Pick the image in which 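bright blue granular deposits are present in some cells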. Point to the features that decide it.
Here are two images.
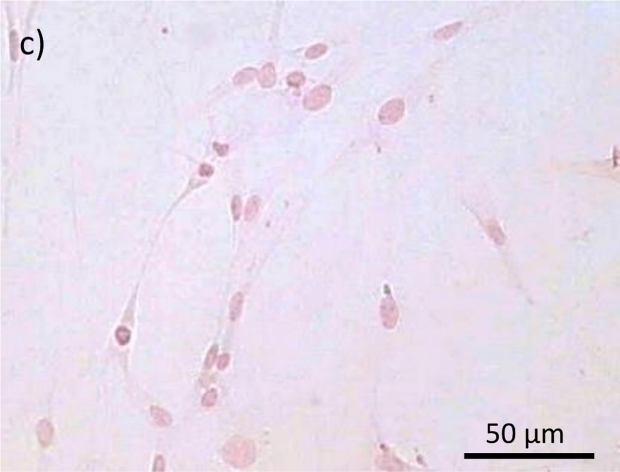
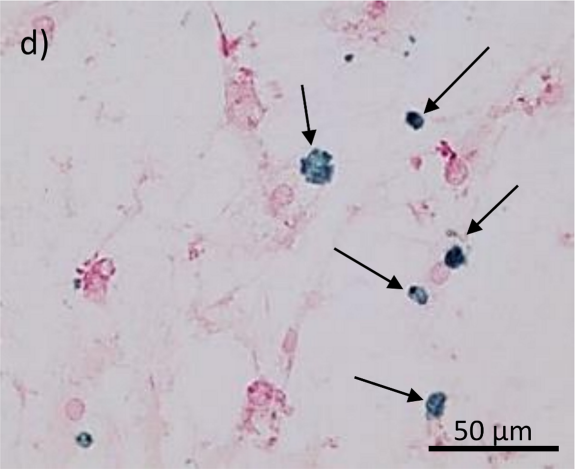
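First image: only pink to red oval nuclei and faint cell outlines, with no blue deposits. The answer: the second image.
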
